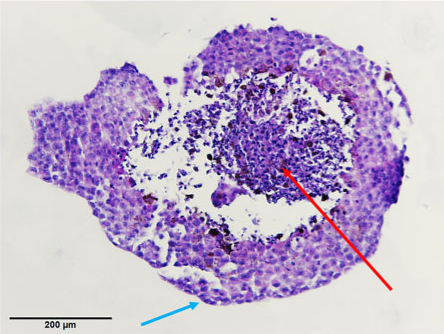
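A section through a round multicellular spheroid shows an outer rim of densely packed, intact cells surrounding a necrotic center. The rim cells have purple nuclei and pink cytoplasm, with scattered dark brown granular deposits among them. Toward the middle, empty clefts separate the rim from a core of loosely arranged, fragmented cells with small dark condensed nuclei. The outer surface of the spheroid is irregular, with small protruding cell clusters.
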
